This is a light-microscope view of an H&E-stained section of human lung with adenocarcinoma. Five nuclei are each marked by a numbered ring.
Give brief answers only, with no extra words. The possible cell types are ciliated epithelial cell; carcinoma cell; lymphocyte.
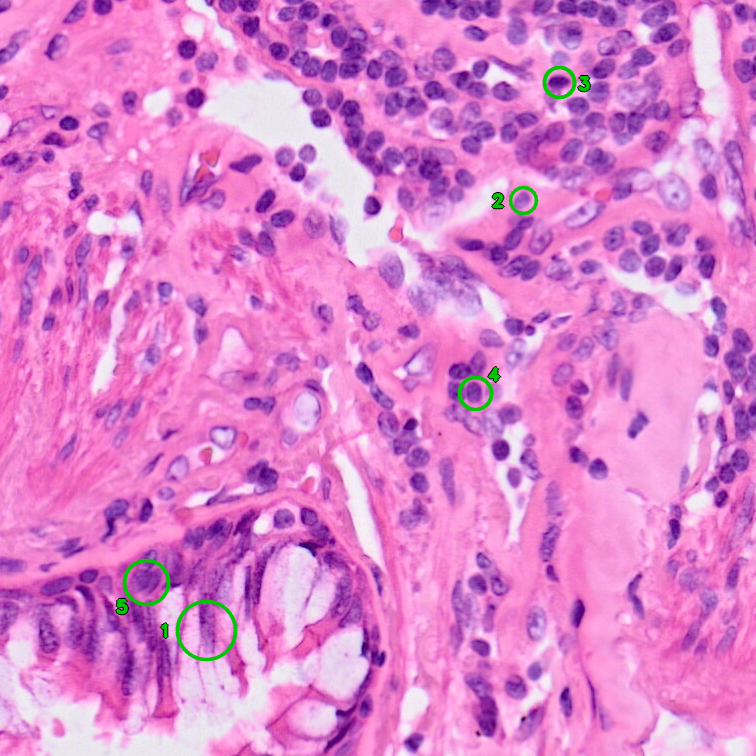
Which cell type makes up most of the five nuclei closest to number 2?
lymphocyte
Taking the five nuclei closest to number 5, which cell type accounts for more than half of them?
ciliated epithelial cell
